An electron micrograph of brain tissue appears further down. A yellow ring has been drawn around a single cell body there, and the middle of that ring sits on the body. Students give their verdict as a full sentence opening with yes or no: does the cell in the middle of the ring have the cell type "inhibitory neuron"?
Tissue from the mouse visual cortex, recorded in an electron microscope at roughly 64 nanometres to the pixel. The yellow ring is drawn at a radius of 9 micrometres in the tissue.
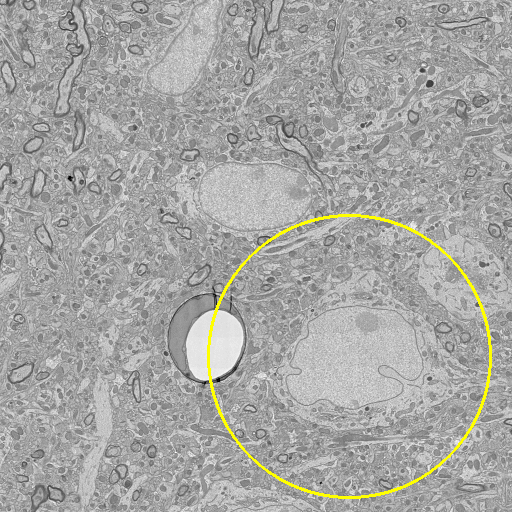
No, in this picture the cell sitting at the middle of the ring has a different cell type.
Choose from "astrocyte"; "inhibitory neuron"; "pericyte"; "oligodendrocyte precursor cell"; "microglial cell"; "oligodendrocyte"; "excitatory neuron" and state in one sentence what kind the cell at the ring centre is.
In this picture, the ring is centred on an excitatory neuron.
